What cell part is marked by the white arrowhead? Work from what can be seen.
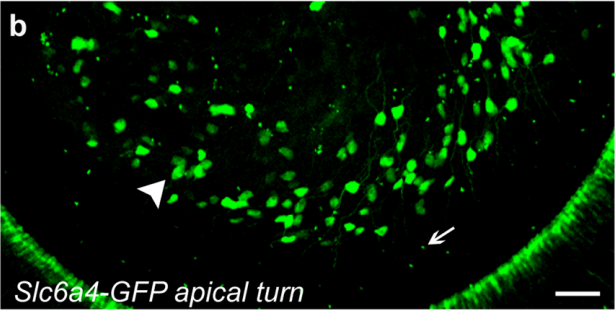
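The arrowhead points at a rounded green cell body several times larger than the small dots. Thin green processes extend from some of these rounded bodies. That points to this answer: somata.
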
